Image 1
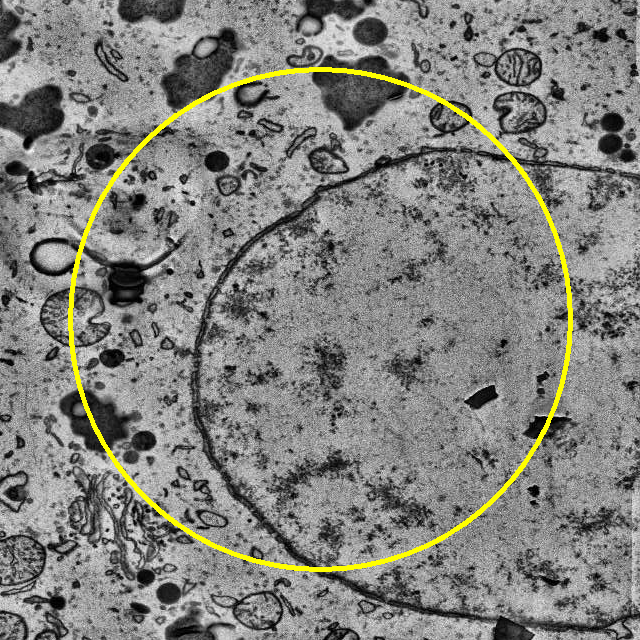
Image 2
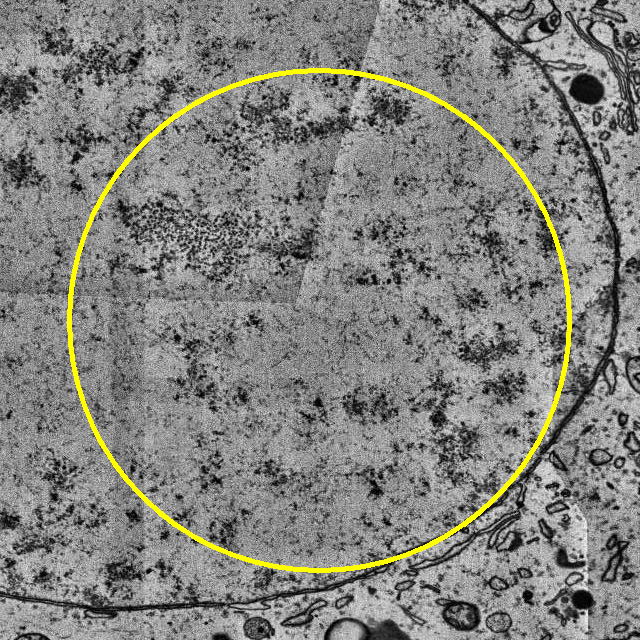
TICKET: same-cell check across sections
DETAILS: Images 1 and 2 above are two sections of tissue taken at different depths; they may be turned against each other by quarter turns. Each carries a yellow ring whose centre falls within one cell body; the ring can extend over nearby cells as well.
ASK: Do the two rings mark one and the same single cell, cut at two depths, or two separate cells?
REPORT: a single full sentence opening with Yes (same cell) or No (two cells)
Yes, the two rings mark one cell and not separate cells.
